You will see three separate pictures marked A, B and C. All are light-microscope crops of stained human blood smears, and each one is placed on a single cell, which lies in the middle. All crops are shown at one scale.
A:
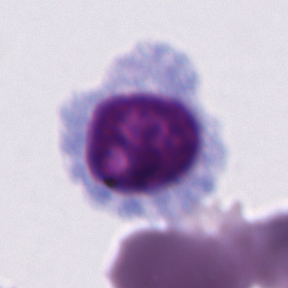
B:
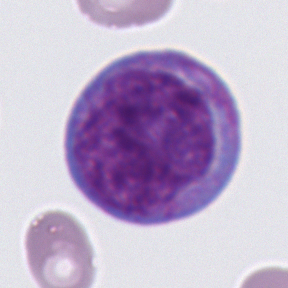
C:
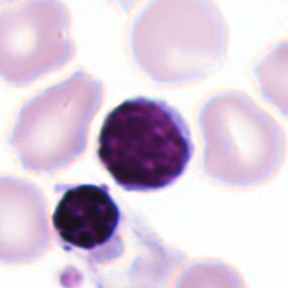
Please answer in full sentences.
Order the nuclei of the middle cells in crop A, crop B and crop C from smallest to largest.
Going up, they run C, A, B.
